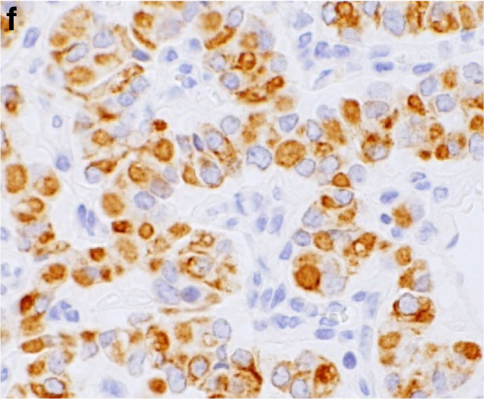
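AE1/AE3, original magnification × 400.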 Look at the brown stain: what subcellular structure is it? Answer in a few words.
intracytoplasmic globular inclusions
